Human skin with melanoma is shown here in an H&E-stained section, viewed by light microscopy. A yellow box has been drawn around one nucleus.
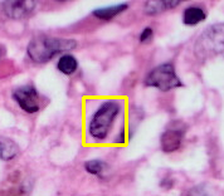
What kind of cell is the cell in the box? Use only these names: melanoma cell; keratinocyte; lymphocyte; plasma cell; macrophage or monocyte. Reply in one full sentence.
In short, the cell in the box on this section is a macrophage or monocyte.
